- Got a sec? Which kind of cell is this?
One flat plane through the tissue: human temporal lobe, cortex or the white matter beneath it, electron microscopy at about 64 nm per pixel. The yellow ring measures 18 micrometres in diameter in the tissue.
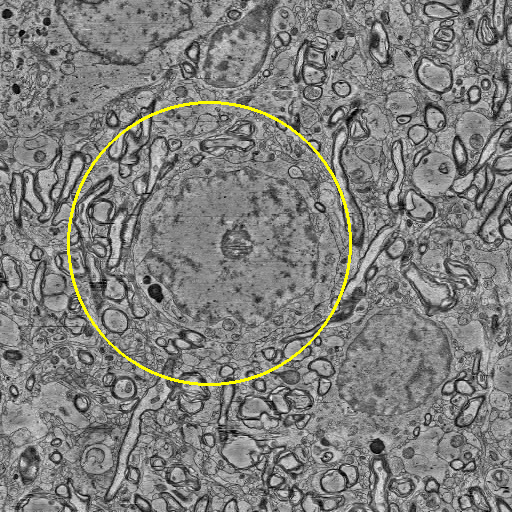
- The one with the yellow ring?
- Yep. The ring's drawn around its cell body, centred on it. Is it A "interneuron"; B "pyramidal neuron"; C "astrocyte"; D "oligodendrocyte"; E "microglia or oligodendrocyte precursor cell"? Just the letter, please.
A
